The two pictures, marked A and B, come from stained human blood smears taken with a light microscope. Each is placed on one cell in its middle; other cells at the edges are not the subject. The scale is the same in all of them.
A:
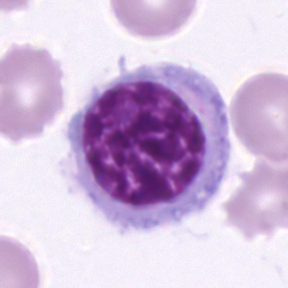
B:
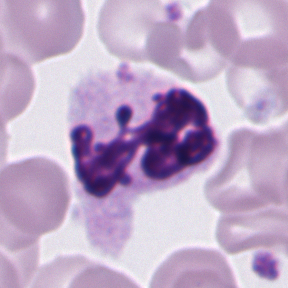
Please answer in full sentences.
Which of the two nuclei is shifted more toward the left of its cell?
The nucleus in crop A lies further toward the left of its cell.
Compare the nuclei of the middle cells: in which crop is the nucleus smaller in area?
Crop B shows the smaller nucleus, since that in crop A covers about 1.5 times as much area.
